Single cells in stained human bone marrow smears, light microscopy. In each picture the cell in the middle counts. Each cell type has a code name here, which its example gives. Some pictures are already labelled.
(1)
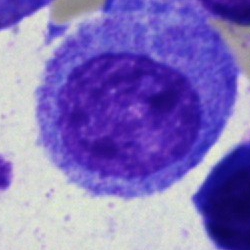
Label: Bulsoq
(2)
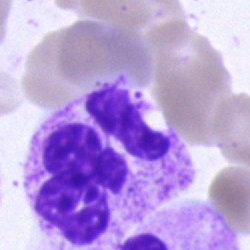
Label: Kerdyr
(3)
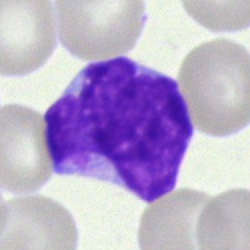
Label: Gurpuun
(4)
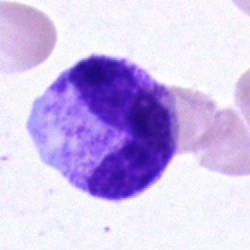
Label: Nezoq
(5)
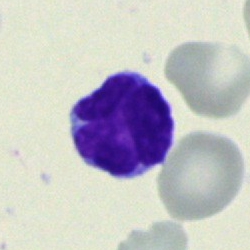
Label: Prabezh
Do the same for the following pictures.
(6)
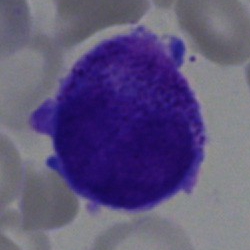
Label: Gurpuun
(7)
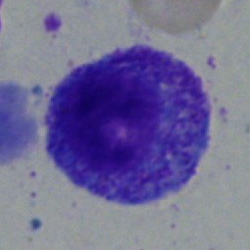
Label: Bulsoq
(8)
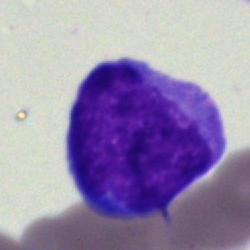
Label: Gurpuun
